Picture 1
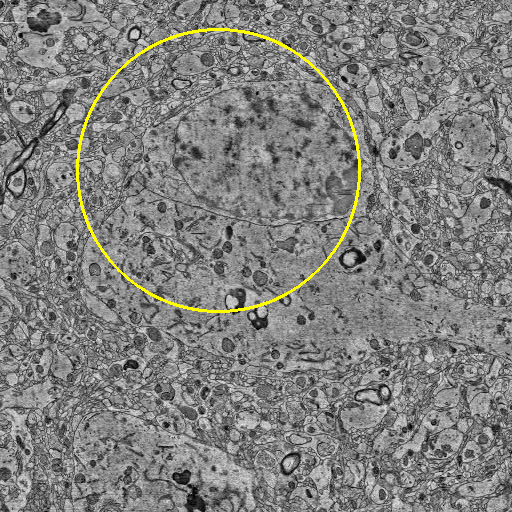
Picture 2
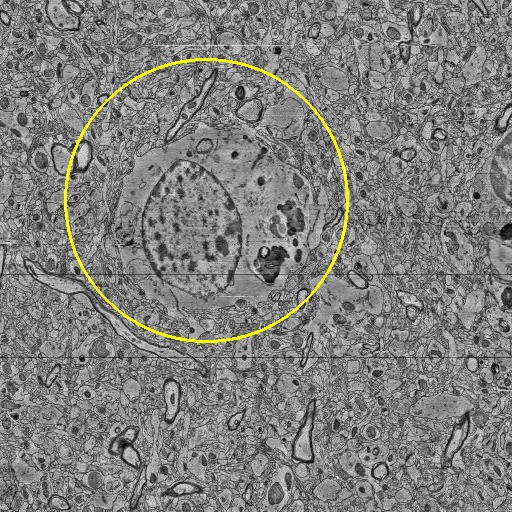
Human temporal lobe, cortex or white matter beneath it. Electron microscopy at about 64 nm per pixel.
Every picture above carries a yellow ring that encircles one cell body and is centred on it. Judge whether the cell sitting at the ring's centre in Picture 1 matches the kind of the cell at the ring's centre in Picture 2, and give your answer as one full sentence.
No, the cells centred in the rings of Pictures 1 and 2 belong to two kinds.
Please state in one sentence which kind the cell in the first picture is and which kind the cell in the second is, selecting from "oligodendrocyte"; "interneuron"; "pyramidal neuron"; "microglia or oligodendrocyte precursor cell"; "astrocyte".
The first ringed cell is an interneuron, the second ringed cell an astrocyte.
